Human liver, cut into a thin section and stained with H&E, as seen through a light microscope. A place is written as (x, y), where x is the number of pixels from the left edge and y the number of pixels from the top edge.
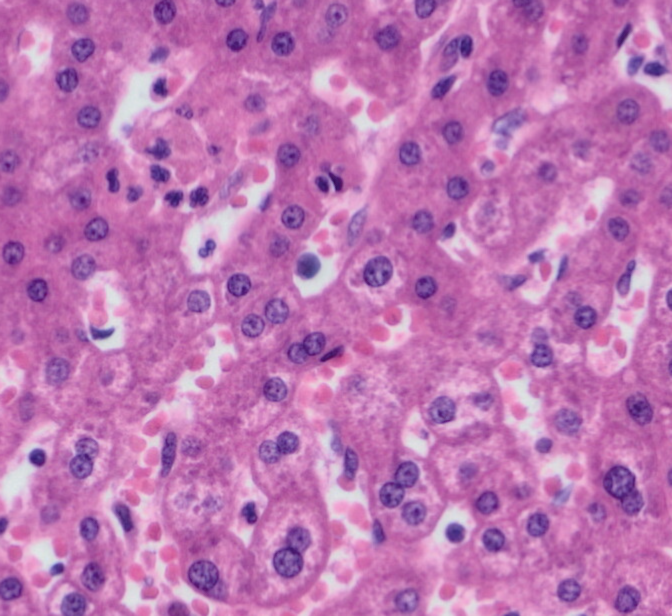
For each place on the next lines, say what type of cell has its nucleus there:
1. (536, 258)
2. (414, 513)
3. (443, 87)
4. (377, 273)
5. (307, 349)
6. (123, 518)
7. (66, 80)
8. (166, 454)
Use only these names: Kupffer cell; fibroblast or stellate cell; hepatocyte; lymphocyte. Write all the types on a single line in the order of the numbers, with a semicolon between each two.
lymphocyte; hepatocyte; fibroblast or stellate cell; hepatocyte; hepatocyte; Kupffer cell; hepatocyte; Kupffer cell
